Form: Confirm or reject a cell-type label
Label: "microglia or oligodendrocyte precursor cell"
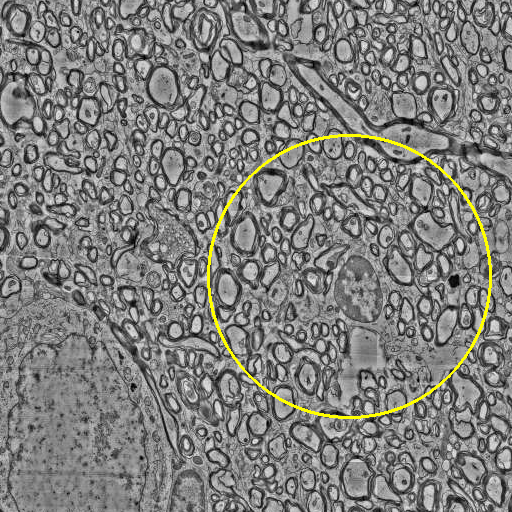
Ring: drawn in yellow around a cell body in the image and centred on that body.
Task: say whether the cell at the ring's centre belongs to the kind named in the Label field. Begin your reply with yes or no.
Yes, it belongs to that kind.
